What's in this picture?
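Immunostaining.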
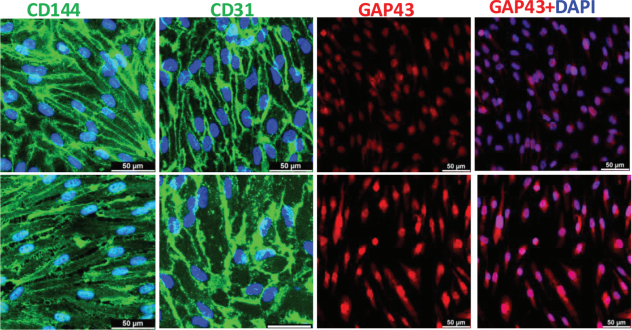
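A confluent monolayer of cultured endothelial cells, elongated and spindle-shaped, lying side by side, each with a single oval nucleus stained blue. Green staining outlines the cell borders and runs in fine strands through the cytoplasm, giving a net-like pattern across the sheet. The red stain fills the cytoplasm and nuclear region of the cells and is brighter in the lower row than in the upper.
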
